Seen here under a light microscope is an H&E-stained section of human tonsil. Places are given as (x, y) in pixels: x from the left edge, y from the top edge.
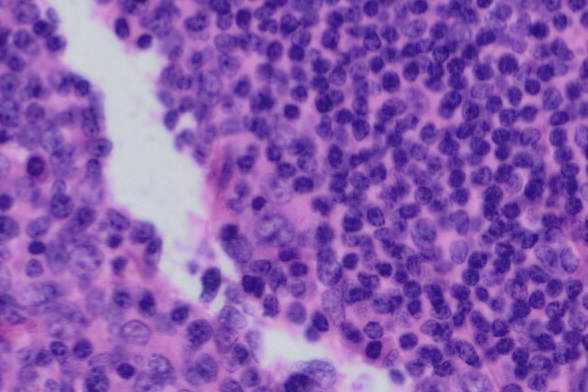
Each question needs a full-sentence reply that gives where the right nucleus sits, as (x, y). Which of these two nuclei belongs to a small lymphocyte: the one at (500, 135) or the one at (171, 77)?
Which one belongs to a small lymphocyte? The nucleus at (500, 135) does.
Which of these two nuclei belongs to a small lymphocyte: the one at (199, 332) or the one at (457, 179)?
The nucleus situated at (457, 179) is the one belonging to a small lymphocyte.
